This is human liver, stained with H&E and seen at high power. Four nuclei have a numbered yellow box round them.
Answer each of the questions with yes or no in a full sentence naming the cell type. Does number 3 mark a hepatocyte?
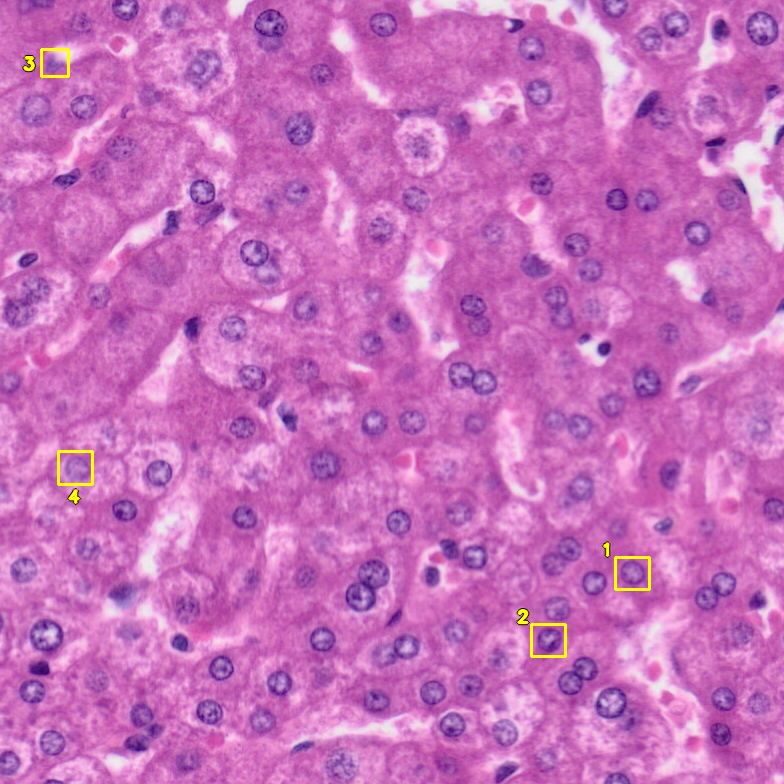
No, cell 3 isn't a hepatocyte; it's an endothelial cell.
